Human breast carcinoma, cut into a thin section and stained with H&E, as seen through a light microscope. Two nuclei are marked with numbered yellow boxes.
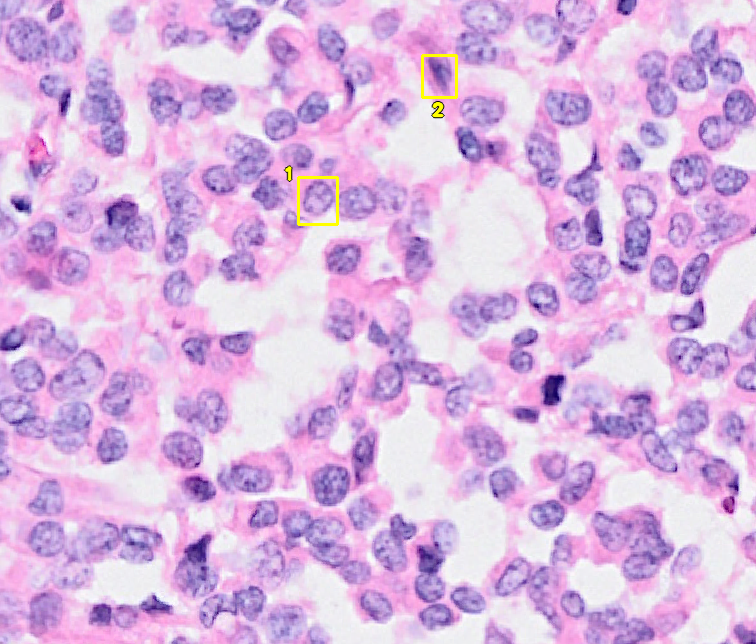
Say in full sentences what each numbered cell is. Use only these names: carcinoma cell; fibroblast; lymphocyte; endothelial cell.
Cell 1 is a carcinoma cell and cell 2 is an endothelial cell.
